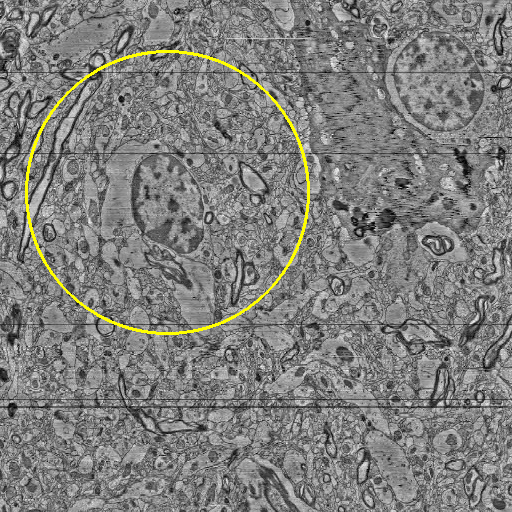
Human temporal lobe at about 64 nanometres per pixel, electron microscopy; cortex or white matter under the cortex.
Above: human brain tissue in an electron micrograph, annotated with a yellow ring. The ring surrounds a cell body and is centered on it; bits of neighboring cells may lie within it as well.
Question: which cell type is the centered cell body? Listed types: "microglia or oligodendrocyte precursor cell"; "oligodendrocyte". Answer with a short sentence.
The centered cell body is a microglial cell or oligodendrocyte precursor cell.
